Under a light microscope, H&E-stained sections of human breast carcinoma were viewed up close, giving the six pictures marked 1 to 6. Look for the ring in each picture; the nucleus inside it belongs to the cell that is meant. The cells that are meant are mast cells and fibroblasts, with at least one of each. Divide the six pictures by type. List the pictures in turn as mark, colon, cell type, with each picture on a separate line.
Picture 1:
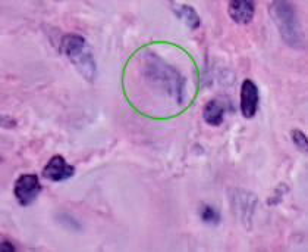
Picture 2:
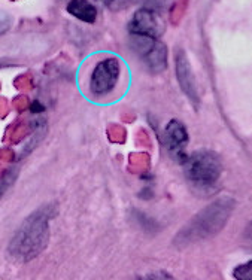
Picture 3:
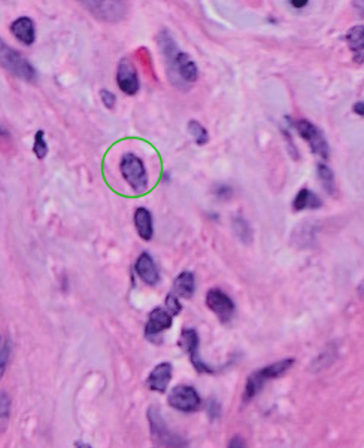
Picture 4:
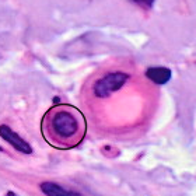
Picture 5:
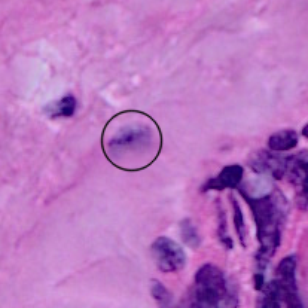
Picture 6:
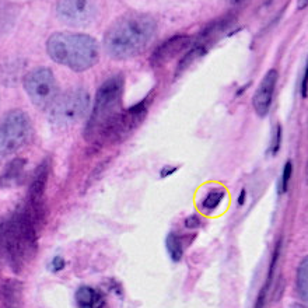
1: fibroblast
2: mast cell
3: mast cell
4: mast cell
5: fibroblast
6: mast cell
